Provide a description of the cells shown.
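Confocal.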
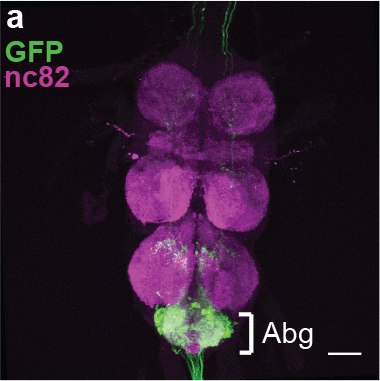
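The ventral nerve cord is seen whole, as a bilaterally symmetric chain of paired rounded neuropil lobes filled with magenta. Green signal is densest in this posterior region, which appears pale green to white, with scattered green fibers in the lobes just above it. Thin green tracts run along the length of the cord toward the anterior end and leave the posterior end as nerves.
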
